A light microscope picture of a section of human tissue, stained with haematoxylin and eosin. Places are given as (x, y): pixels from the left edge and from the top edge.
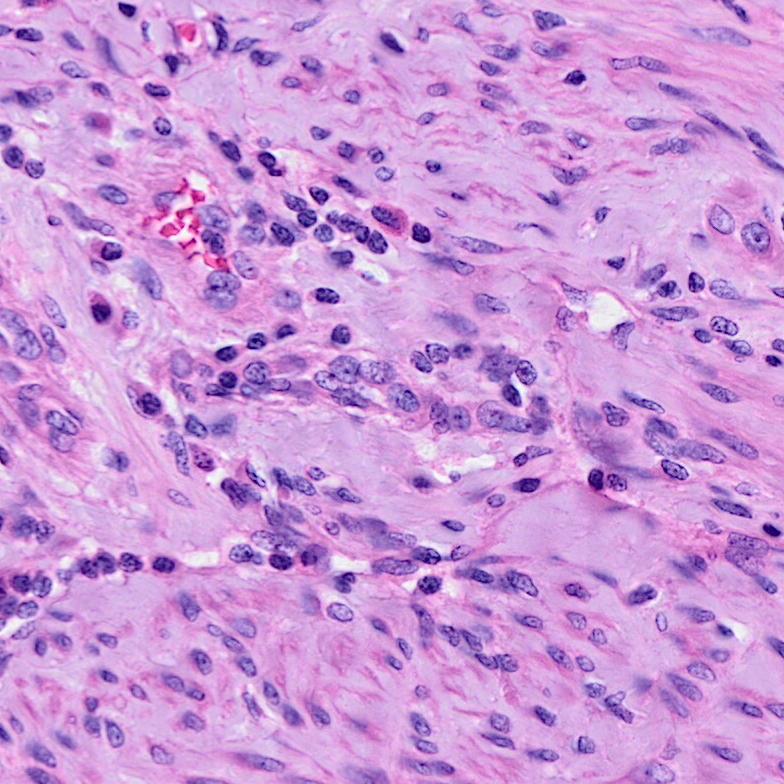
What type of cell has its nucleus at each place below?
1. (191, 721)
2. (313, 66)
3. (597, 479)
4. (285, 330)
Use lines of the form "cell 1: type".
cell 1: smooth muscle cell
cell 2: smooth muscle cell
cell 3: lymphocyte
cell 4: lymphocyte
